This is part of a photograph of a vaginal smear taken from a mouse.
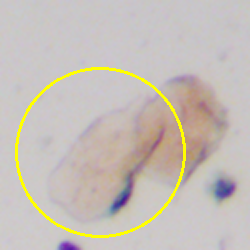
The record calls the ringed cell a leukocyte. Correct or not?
Not correct; it is a cornified epithelial cell.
